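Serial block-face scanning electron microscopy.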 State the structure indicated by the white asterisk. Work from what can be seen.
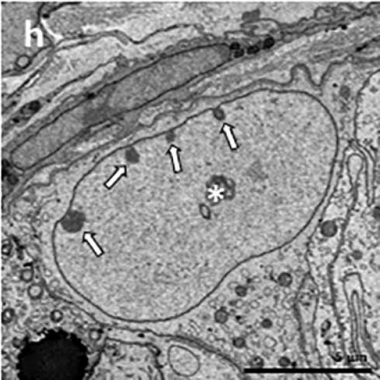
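An irregular, mottled dense body lies within the nuclear interior.
Nucleolus-like structures.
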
